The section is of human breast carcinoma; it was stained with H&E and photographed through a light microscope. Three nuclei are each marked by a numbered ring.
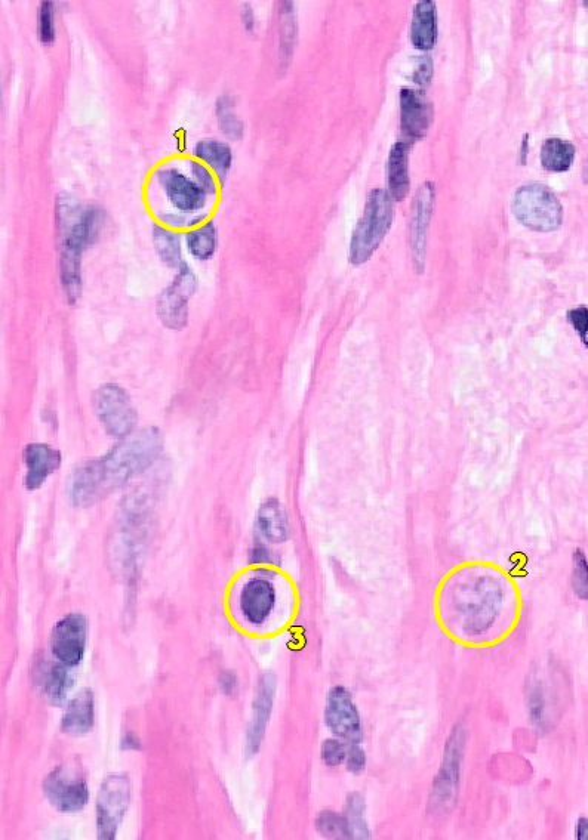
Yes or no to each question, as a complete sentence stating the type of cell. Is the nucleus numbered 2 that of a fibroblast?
Yes, as for number 2, the cell is a fibroblast.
